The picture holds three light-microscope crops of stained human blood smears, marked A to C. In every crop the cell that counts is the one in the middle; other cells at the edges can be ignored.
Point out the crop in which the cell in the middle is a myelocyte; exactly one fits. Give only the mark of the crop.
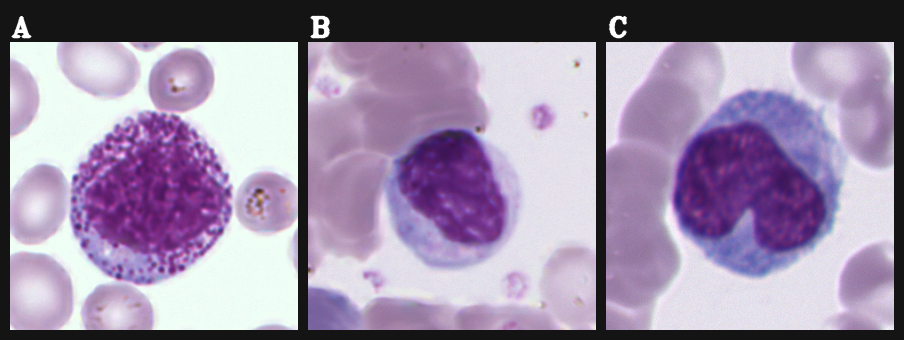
A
